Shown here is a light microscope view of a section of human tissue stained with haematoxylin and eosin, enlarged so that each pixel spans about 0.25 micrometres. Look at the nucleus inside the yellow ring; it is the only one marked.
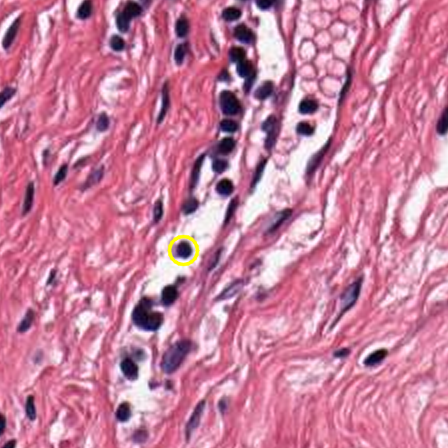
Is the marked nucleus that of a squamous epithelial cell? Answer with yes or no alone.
no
